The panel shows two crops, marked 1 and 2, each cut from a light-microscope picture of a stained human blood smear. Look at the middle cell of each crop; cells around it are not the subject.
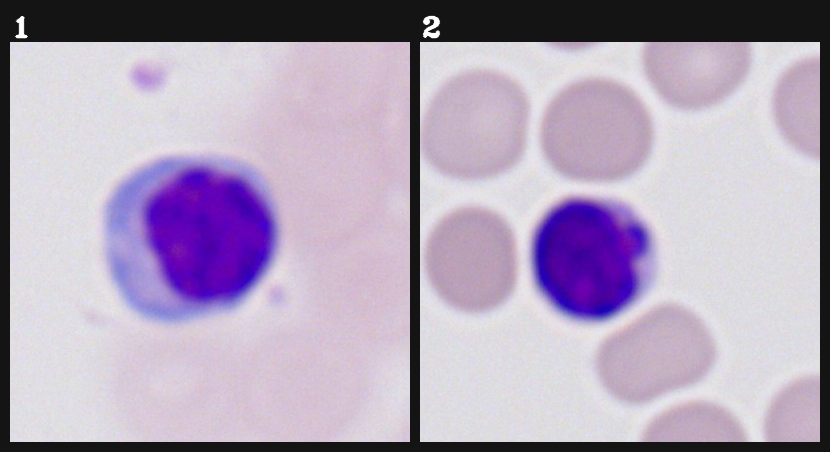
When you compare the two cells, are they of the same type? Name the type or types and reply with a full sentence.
Yes, lymphocytes are the cells in the middle of both crops.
